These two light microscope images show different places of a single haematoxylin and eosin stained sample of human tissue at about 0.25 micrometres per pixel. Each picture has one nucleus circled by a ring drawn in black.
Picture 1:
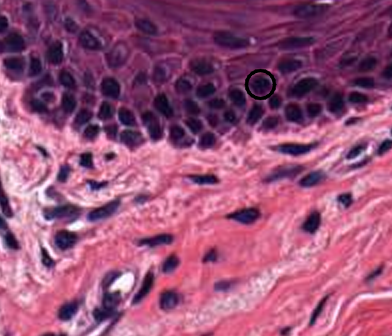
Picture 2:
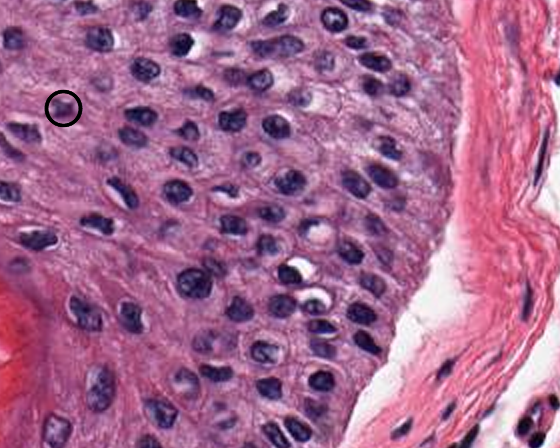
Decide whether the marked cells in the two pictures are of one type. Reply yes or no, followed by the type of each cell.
Yes, both are keratinocytes.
